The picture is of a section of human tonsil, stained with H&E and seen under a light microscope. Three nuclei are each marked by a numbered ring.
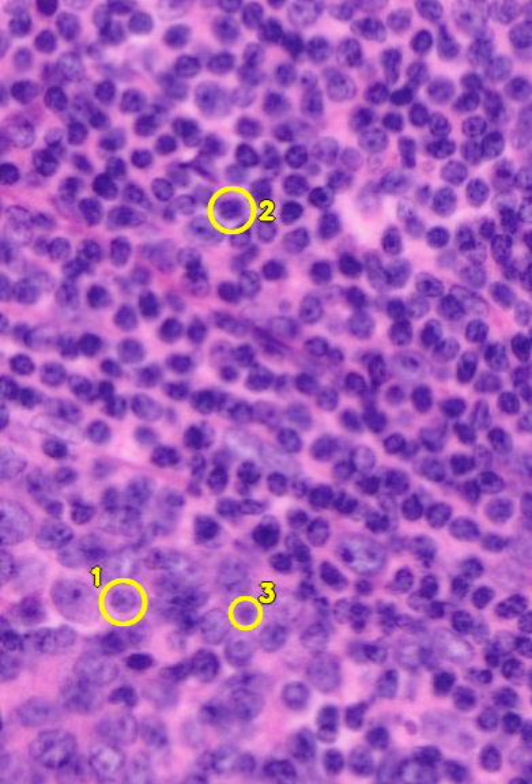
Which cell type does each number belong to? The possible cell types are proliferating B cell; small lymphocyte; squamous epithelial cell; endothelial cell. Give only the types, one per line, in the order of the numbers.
proliferating B cell
small lymphocyte
proliferating B cell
